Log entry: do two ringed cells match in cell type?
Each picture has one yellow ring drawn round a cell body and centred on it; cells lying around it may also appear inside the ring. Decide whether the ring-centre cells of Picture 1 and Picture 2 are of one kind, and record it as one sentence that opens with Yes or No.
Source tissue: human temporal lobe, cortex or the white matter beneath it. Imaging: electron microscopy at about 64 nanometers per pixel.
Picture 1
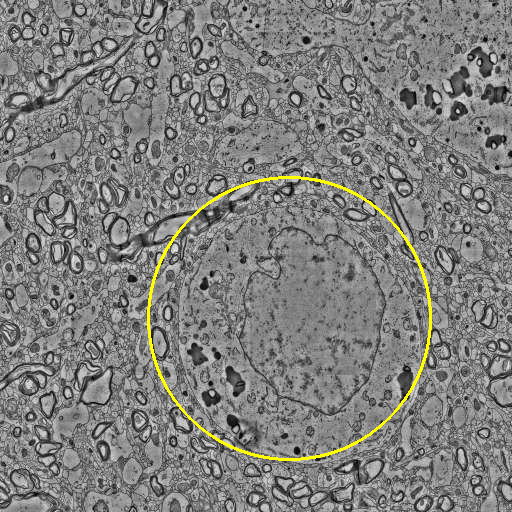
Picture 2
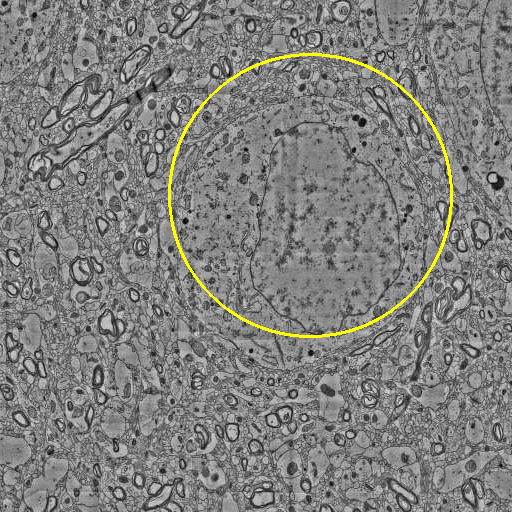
Yes, the cells at the ring centres of the two pictures belong to one kind.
